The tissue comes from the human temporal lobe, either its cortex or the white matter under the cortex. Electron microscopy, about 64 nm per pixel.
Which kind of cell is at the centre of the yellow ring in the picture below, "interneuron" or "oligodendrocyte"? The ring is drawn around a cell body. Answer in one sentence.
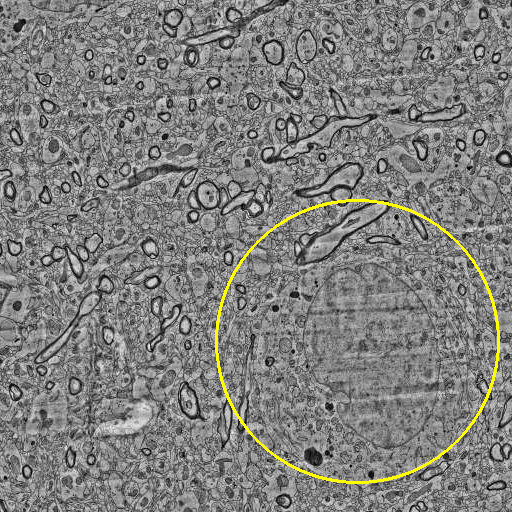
The ring's central cell is an interneuron.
